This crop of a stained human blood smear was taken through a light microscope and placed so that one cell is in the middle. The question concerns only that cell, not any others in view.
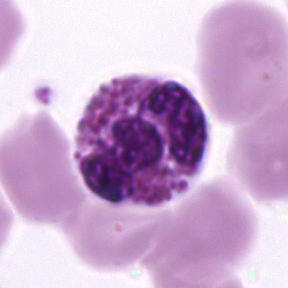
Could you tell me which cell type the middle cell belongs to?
eosinophil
